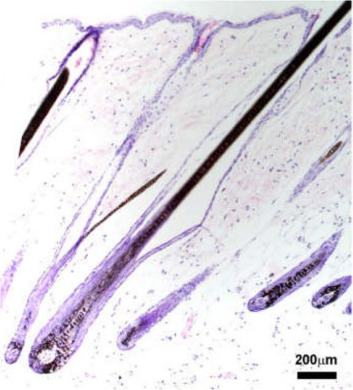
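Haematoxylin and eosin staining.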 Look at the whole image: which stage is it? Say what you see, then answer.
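Long hair follicles run obliquely deep into the tissue. Dark pigmented hair shafts run through the follicles. The lower ends of the follicles form enlarged, pigmented bulbs packed with purple nuclei.
Conclusion: anagen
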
